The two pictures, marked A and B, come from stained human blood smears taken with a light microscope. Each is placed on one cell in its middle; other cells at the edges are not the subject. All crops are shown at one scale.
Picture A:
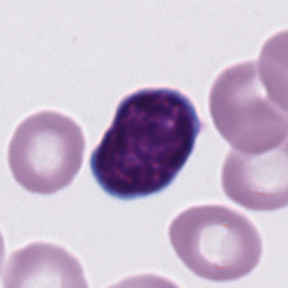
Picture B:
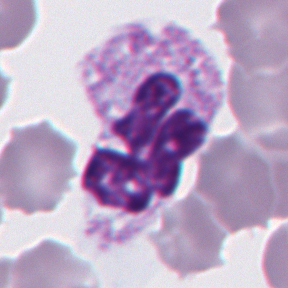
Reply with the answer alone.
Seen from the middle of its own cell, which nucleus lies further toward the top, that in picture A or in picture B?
A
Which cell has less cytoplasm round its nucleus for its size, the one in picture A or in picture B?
A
